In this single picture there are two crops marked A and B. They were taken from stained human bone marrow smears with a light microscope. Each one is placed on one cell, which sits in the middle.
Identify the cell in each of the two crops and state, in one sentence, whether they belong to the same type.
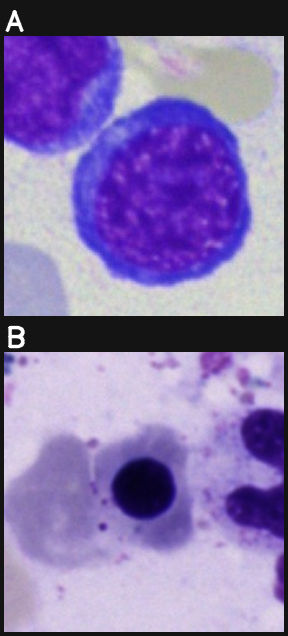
Yes, in the two crops, erythroblasts are the cells at the centre.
